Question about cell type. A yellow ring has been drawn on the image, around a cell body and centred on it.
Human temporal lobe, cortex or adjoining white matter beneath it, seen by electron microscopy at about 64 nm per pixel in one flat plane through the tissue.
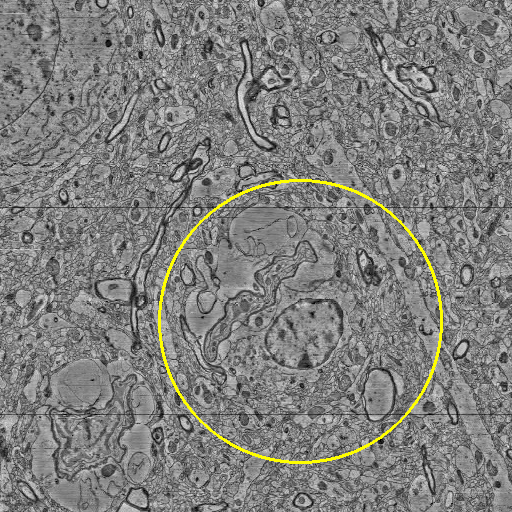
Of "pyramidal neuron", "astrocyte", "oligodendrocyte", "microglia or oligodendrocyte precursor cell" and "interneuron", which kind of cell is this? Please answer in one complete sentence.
At the centre of the ring lies a microglial cell or oligodendrocyte precursor cell.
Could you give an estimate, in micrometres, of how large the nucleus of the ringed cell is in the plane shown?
In this plane the nucleus is about 5 micrometres by 4.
